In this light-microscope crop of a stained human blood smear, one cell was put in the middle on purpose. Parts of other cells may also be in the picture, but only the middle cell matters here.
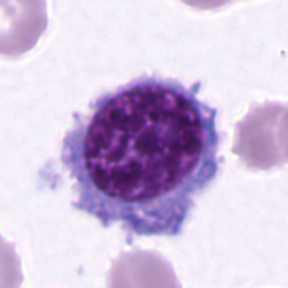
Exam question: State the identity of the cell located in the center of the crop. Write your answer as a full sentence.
The centrally placed cell is classified as a plasma cell.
